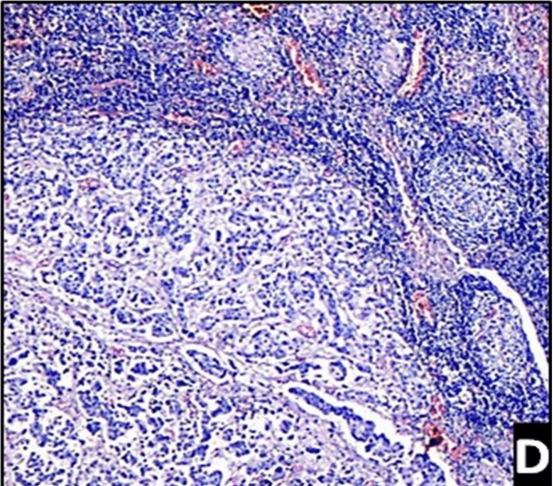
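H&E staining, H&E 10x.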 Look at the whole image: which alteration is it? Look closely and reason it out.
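Dense dark sheets of small lymphocytes occupy the upper and right parts. A paler area of larger tumor cells in cords and nests fills the lower left. Round lymphoid follicles with paler centres sit at the edge of the tumor.
Conclusion: Nodal involvement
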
